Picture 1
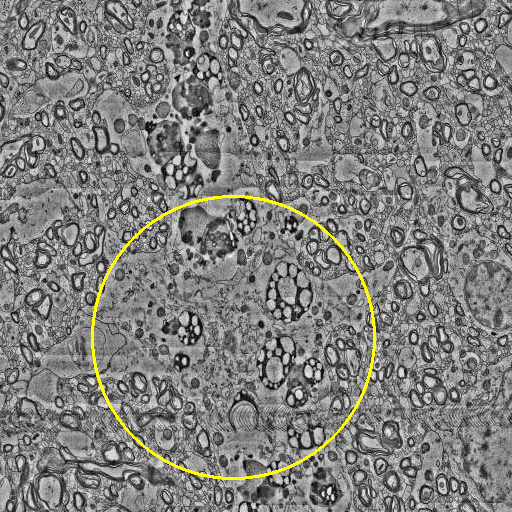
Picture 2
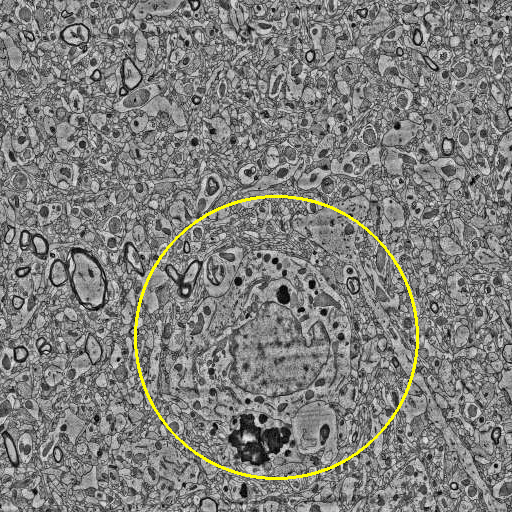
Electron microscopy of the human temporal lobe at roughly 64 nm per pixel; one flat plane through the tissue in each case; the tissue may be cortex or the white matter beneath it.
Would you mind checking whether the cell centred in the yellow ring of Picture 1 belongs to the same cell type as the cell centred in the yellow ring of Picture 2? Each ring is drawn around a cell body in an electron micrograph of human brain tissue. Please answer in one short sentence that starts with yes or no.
No, the two cells are of two types.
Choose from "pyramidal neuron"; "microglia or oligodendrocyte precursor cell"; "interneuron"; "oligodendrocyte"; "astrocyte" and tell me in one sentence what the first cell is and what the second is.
What the first ring is centred on is an astrocyte; what the second ring is centred on is an interneuron.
